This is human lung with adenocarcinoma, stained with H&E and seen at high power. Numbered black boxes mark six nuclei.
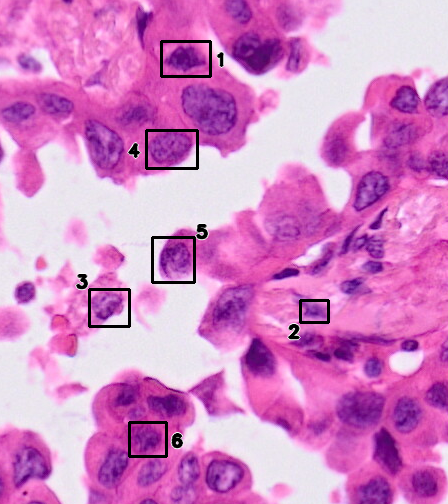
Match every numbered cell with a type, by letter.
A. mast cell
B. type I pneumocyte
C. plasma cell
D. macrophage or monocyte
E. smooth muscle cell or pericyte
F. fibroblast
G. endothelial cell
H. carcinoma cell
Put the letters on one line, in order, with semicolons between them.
H; F; D; H; H; H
